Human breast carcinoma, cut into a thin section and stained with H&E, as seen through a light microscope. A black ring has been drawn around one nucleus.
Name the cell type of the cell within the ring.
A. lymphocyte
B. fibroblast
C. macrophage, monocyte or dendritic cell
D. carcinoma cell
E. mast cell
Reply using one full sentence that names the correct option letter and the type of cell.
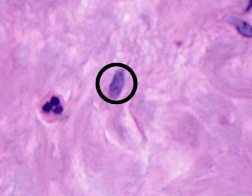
The correct option is B, as the cell within the ring is a fibroblast.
